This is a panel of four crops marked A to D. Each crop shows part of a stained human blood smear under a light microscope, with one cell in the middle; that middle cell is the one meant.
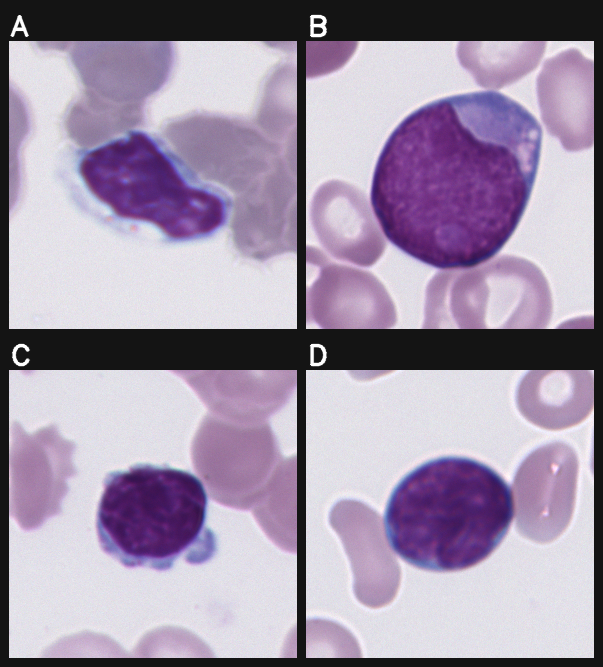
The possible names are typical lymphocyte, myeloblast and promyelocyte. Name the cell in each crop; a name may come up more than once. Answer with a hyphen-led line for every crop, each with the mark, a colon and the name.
- A: typical lymphocyte
- B: myeloblast
- C: typical lymphocyte
- D: typical lymphocyte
